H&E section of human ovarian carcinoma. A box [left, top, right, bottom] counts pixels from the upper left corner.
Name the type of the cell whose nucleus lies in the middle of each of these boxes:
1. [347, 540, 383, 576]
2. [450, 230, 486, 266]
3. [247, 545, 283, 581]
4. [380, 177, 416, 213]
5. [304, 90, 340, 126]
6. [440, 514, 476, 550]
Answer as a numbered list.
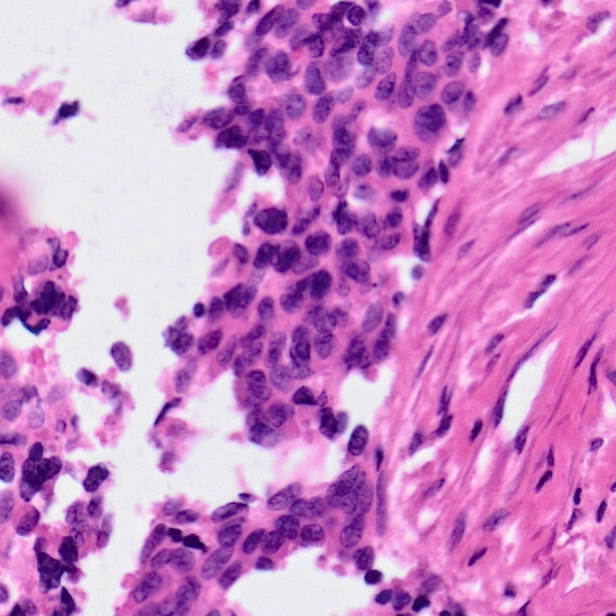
1. carcinoma cell
2. fibroblast
3. carcinoma cell
4. carcinoma cell
5. carcinoma cell
6. fibroblast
